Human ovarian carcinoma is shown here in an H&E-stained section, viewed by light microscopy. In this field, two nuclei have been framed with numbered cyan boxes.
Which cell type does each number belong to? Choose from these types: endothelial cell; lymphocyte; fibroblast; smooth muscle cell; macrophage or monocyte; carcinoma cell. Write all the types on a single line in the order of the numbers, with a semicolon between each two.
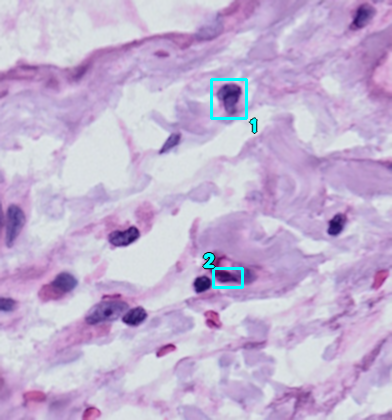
macrophage or monocyte; endothelial cell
